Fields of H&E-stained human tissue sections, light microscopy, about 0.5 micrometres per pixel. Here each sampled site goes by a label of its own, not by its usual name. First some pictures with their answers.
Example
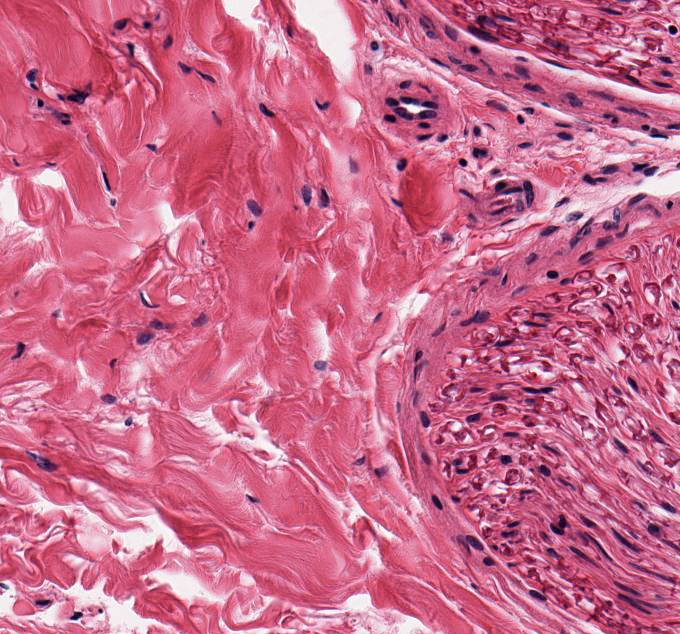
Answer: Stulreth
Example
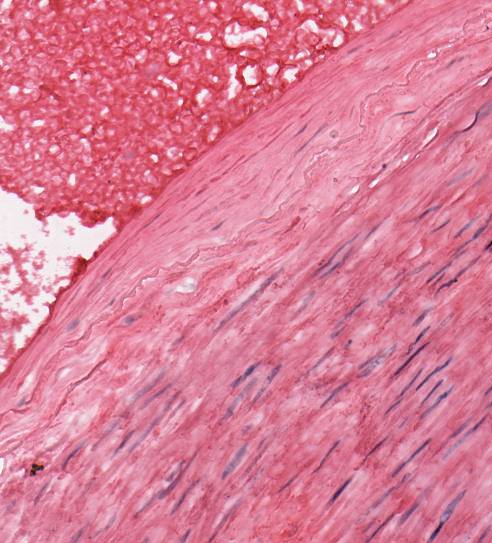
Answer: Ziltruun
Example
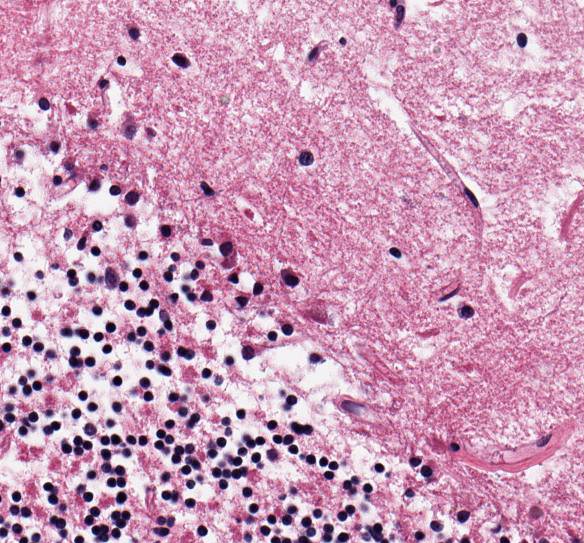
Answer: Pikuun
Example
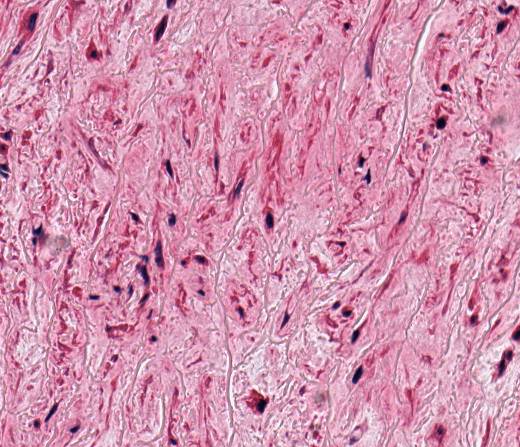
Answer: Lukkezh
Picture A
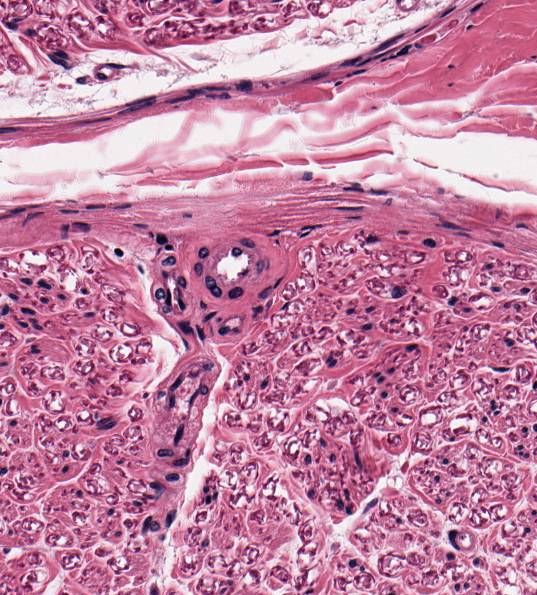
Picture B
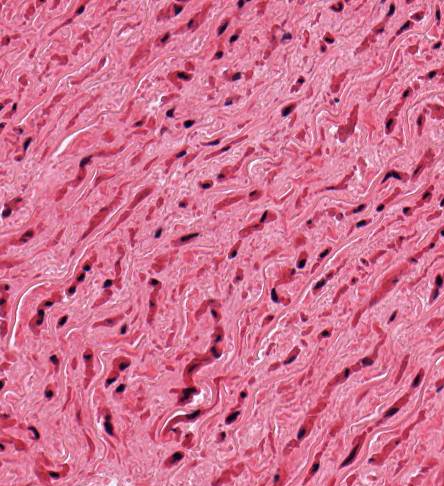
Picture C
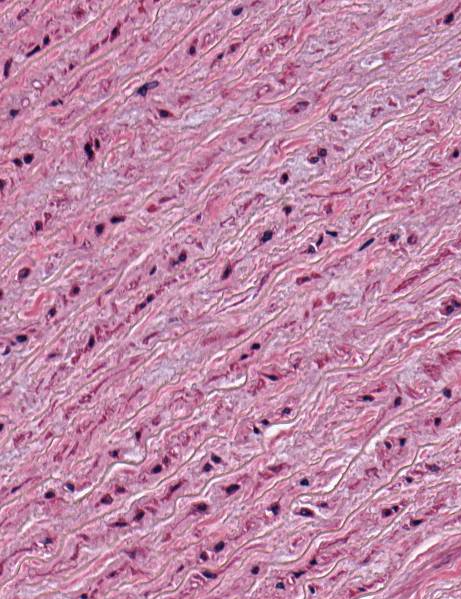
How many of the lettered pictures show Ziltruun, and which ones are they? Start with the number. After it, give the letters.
0, none of them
